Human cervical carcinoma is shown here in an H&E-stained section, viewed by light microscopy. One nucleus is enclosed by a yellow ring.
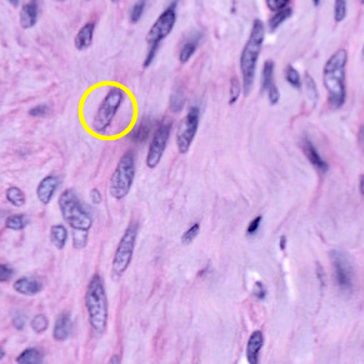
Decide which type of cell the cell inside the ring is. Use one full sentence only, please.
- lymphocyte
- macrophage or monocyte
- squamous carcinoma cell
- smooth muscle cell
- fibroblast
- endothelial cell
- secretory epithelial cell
In this field of tissue, the cell inside the ring is a smooth muscle cell.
